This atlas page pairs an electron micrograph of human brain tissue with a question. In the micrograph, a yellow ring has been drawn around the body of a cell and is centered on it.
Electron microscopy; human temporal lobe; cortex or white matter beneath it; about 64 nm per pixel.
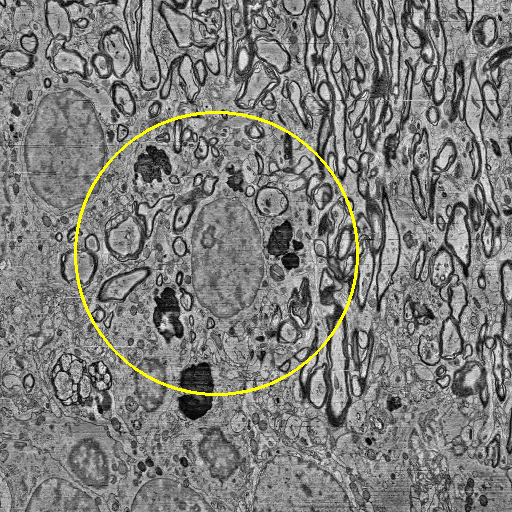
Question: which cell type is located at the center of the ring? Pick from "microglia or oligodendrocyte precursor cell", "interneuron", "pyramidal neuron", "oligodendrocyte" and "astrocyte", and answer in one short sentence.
Located at the center of the ring is an oligodendrocyte.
